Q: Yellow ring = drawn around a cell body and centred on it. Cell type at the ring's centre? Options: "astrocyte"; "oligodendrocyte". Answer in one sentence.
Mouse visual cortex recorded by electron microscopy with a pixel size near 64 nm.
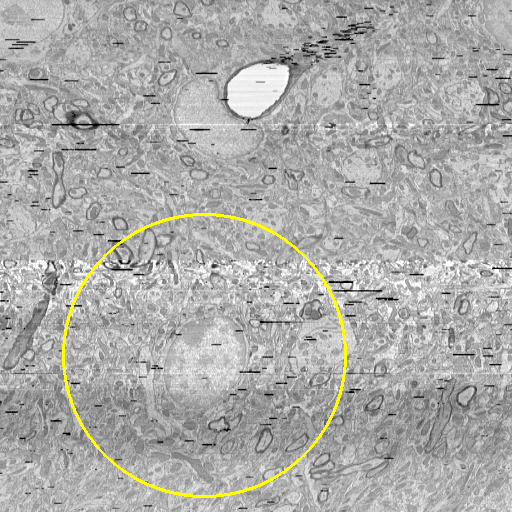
Centred in the ring is an oligodendrocyte.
